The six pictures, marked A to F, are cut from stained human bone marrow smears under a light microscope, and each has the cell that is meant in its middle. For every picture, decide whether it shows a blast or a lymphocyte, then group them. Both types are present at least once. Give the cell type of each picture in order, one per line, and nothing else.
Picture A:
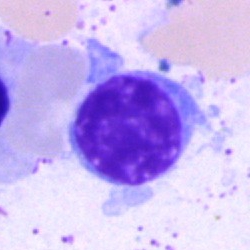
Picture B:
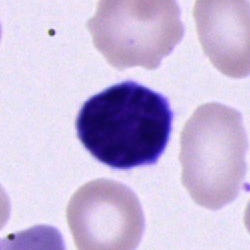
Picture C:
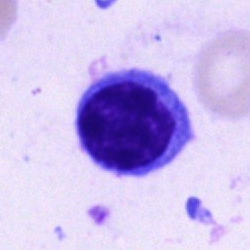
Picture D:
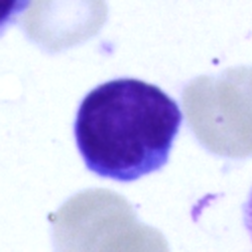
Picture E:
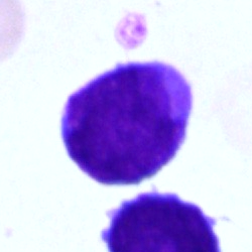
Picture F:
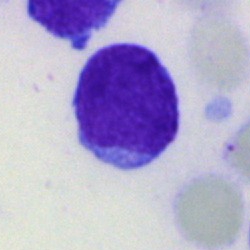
lymphocyte
lymphocyte
lymphocyte
lymphocyte
blast
blast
